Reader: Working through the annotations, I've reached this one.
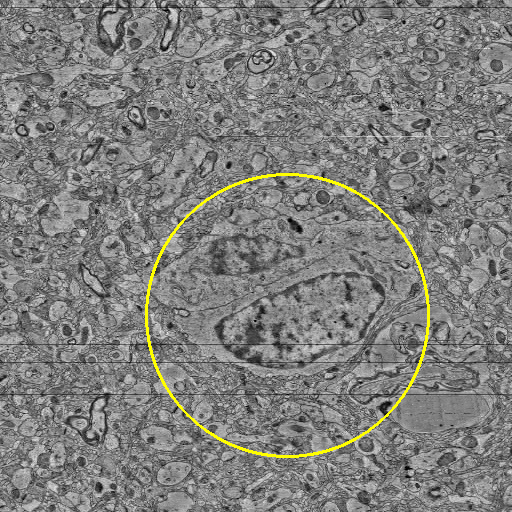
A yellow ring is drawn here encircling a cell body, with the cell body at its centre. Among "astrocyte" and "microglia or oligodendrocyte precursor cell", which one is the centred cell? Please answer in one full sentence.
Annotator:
The cell body at the centre of the yellow ring in this image belongs to a microglial cell or oligodendrocyte precursor cell.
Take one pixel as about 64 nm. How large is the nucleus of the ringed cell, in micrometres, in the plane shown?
Approximately 11 micrometres long and 6 micrometres wide, in this plane.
